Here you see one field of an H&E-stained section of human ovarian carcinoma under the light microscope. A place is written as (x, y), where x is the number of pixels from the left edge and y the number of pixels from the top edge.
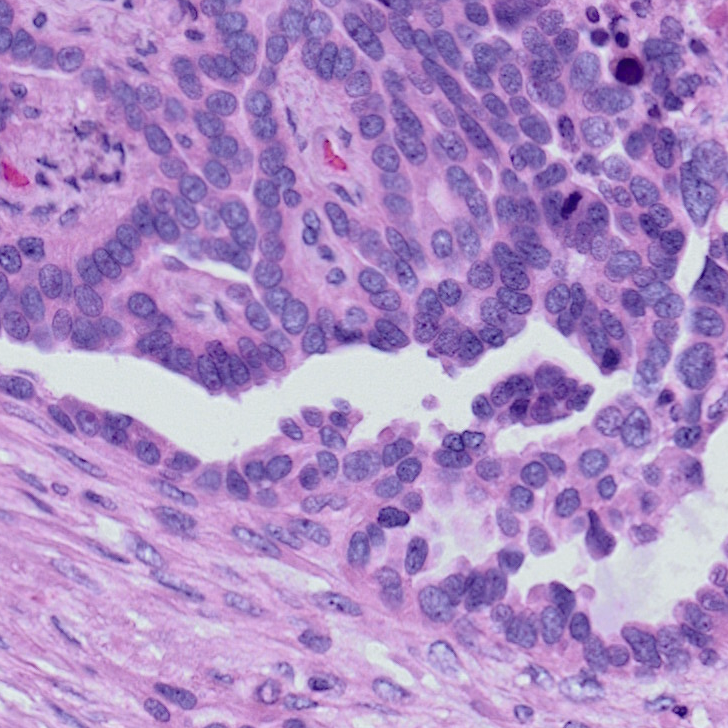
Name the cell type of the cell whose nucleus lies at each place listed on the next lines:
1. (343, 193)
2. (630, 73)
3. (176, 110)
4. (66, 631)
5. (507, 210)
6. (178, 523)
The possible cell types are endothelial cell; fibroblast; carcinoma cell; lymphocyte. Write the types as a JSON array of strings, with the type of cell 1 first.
["fibroblast", "carcinoma cell", "carcinoma cell", "fibroblast", "carcinoma cell", "fibroblast"]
